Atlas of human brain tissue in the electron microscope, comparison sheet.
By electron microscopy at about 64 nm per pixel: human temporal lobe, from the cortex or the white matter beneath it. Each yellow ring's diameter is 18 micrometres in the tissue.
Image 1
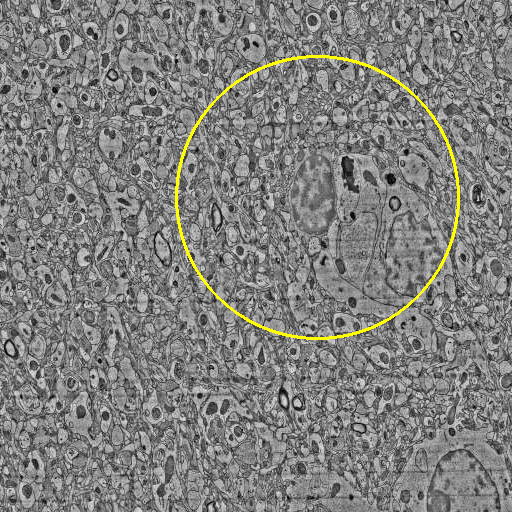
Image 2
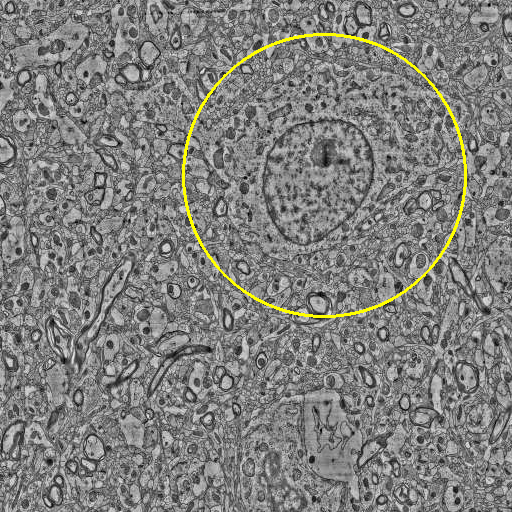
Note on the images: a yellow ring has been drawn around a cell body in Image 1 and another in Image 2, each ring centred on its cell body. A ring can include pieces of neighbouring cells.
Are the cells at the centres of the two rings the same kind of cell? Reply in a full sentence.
No, the two cells are of two kinds.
